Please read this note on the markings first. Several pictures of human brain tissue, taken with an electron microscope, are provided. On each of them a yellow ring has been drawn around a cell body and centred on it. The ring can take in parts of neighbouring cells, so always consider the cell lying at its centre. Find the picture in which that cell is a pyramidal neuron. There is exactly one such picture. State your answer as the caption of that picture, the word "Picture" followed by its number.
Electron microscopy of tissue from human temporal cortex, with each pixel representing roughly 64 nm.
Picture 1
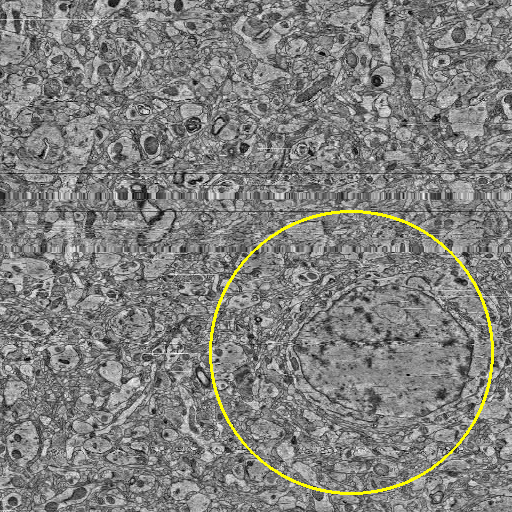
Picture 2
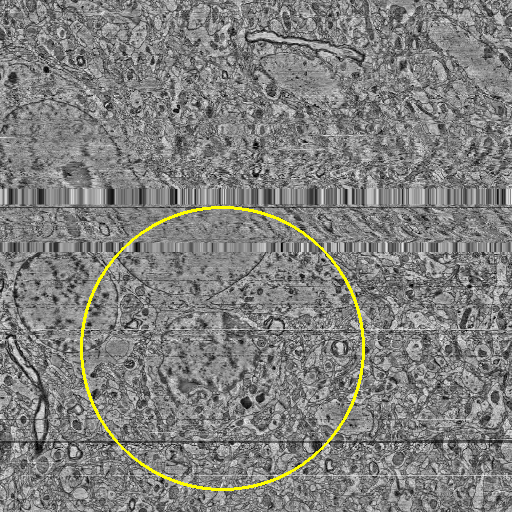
Picture 1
